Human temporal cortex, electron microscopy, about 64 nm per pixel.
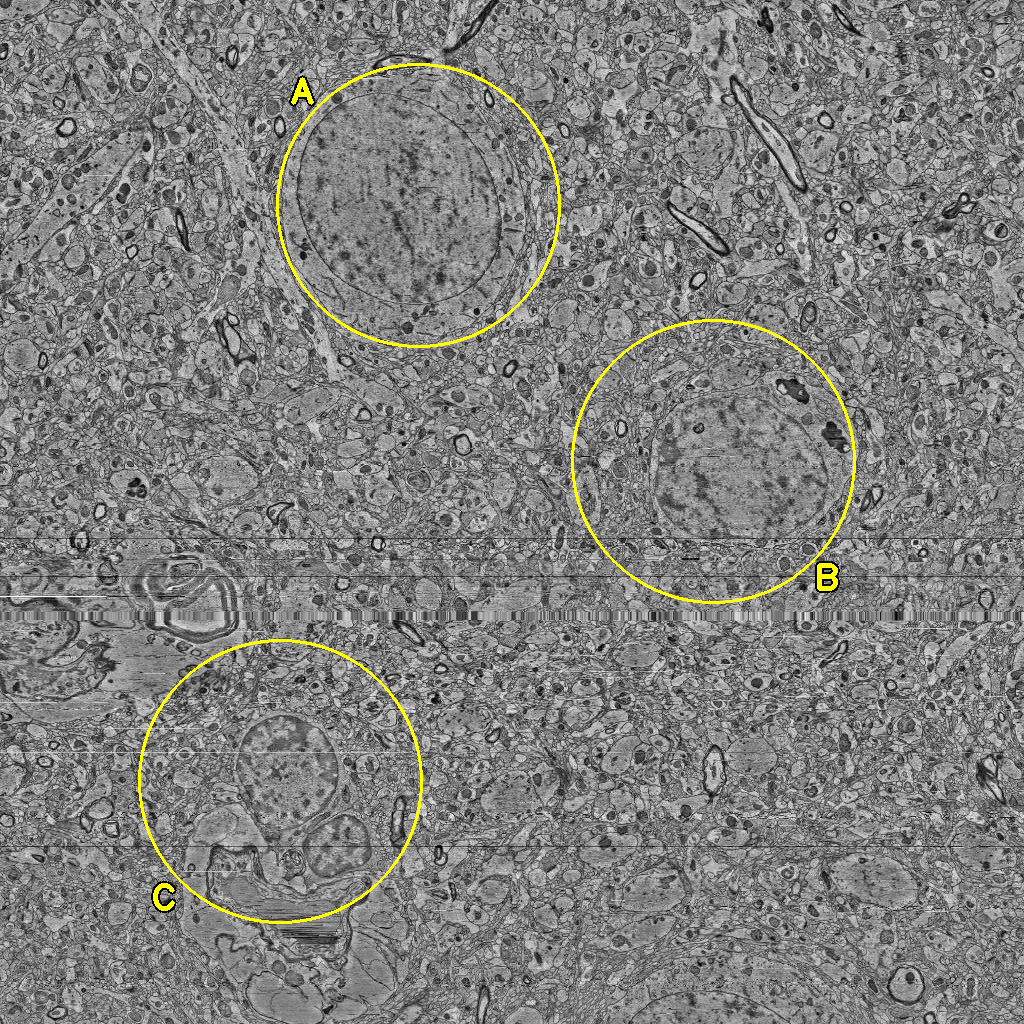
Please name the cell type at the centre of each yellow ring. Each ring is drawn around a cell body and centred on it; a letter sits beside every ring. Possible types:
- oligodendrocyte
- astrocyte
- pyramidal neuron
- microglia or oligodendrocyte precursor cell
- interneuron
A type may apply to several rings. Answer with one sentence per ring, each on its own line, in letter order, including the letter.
Ring A is centred on the cell body of a pyramidal neuron.
Ring B is centred on the cell body of an interneuron.
Ring C is centred on the cell body of an oligodendrocyte.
